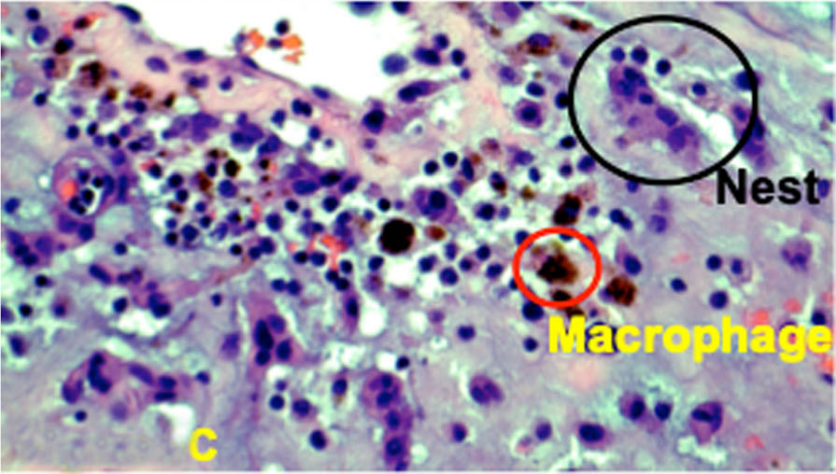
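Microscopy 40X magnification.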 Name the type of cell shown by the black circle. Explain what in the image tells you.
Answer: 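Myxoma cells. The circle encloses a small cluster of cells with dark, plump nuclei. The cluster lies within pale, loose stroma.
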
